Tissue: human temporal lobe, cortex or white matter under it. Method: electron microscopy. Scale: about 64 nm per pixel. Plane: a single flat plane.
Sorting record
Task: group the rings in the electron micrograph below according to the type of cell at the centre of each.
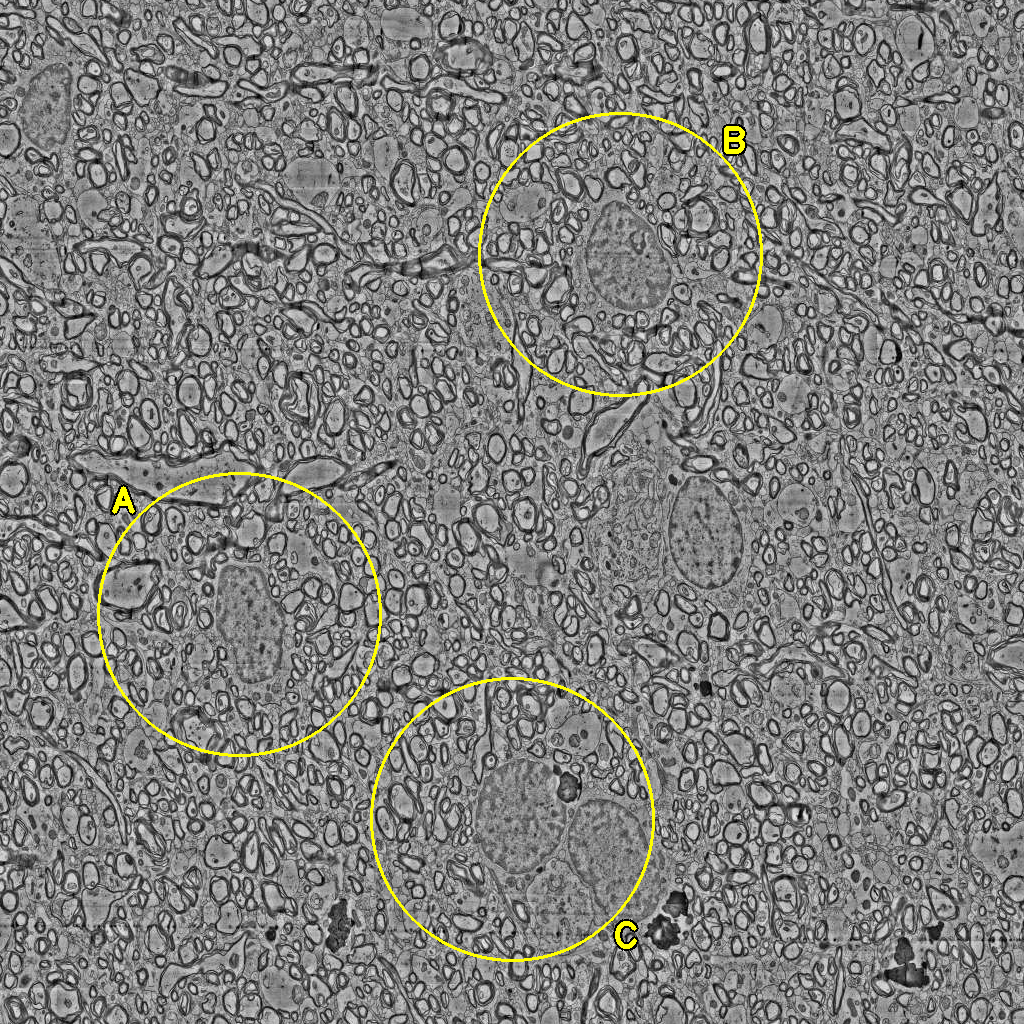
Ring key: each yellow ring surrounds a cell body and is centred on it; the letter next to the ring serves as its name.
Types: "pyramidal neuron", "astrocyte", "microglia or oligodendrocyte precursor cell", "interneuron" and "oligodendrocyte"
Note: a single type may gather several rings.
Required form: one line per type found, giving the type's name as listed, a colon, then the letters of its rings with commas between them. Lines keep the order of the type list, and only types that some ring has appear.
oligodendrocyte: A, B, C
